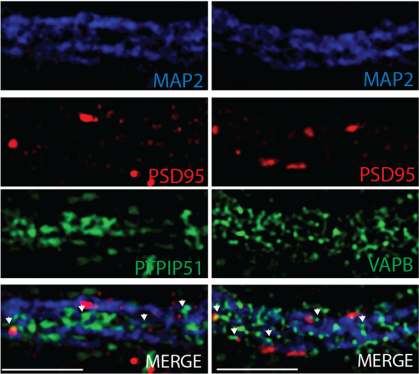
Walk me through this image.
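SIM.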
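Sparse red puncta sit at or just beside the edges of the shafts. Many small green dots and short tubules fill the shafts and their margins, some lying next to the red puncta.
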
